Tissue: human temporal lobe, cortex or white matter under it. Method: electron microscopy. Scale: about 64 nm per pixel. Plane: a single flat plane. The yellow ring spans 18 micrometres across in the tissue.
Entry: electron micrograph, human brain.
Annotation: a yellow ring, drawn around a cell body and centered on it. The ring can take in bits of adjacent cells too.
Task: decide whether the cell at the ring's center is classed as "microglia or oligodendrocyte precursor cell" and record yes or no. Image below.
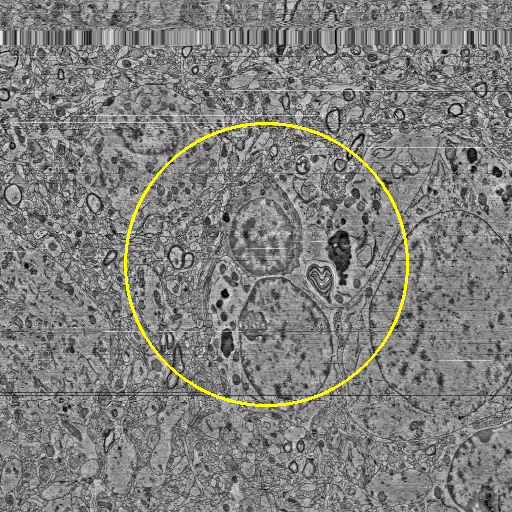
no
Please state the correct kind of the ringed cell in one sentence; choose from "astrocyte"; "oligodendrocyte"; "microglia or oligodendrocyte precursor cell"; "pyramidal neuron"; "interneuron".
The ring's central cell is an oligodendrocyte instead.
